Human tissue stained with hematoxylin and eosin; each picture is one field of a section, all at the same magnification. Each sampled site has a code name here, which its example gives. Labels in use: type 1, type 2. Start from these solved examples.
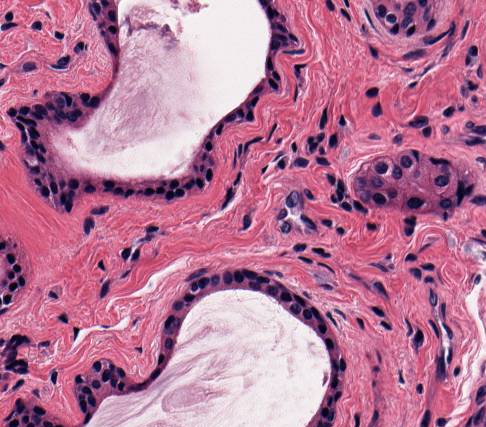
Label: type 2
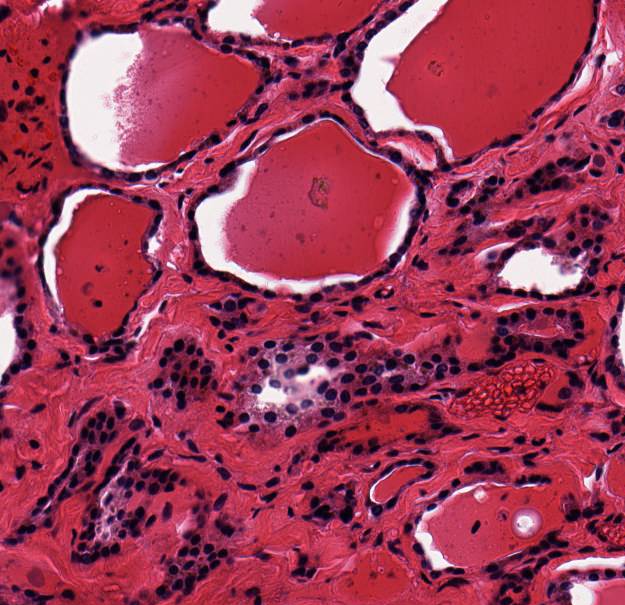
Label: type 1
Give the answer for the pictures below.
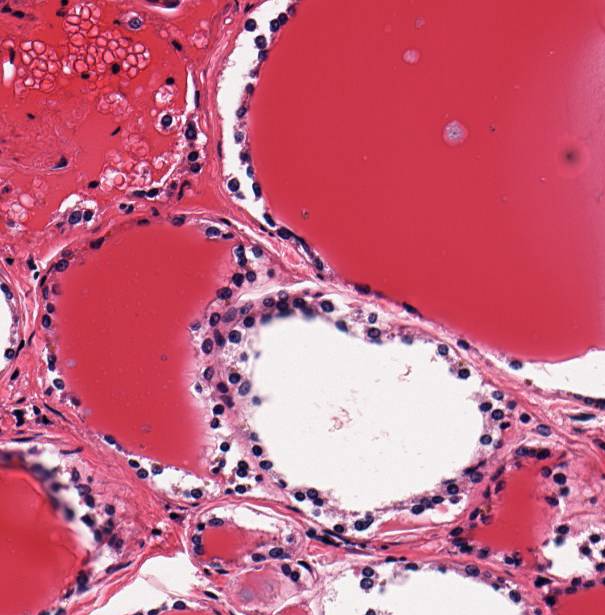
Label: type 1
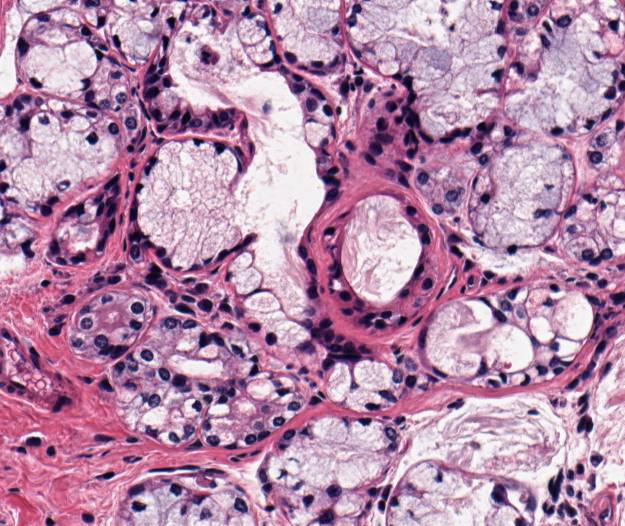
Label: type 2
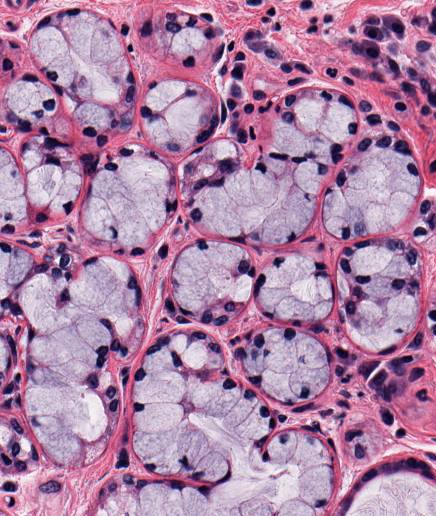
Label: type 2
